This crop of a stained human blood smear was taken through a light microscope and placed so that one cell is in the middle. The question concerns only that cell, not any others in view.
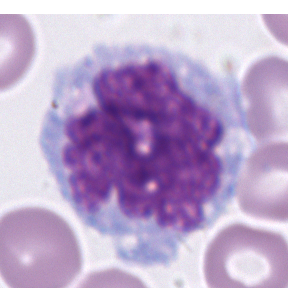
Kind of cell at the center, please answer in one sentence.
Looking at the middle of the crop, the cell there is a monocyte.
